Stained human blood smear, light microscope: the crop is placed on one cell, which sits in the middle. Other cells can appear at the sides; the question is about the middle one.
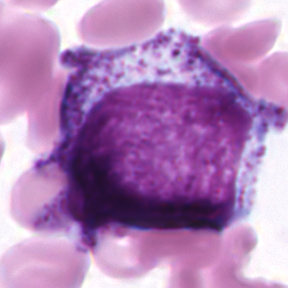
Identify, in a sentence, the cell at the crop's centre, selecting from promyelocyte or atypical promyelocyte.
The middle of this crop holds a promyelocyte.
